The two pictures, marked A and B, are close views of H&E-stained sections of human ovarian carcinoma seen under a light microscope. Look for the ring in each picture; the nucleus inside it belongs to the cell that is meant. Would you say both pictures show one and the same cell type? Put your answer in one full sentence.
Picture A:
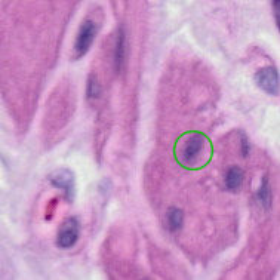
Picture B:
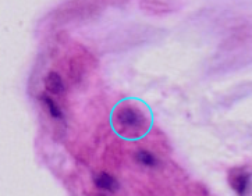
Yes, both are smooth muscle cells.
